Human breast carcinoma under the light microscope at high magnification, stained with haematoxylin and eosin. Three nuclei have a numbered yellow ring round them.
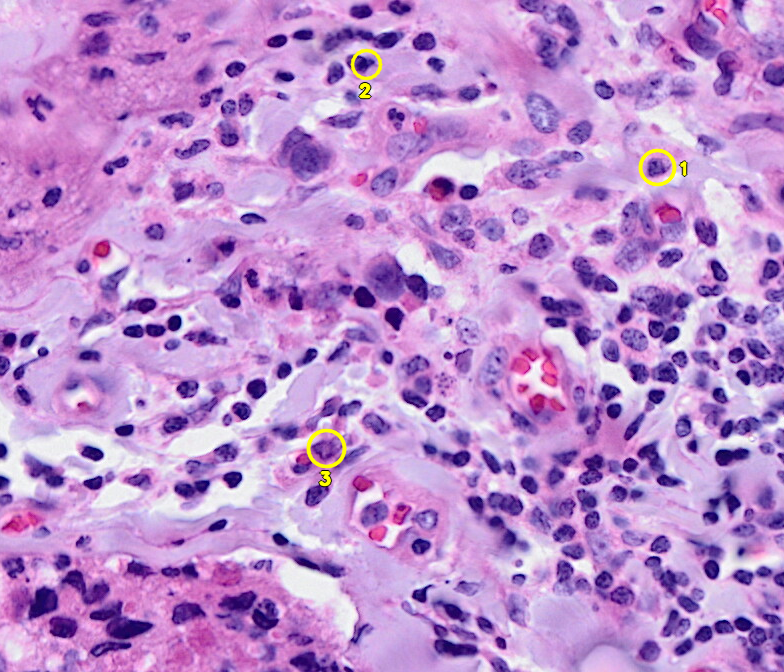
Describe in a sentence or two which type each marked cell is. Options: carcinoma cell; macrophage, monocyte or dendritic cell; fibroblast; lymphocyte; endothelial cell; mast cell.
Cell 1 is a mast cell, cell 2 is a lymphocyte and cell 3 is an endothelial cell.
